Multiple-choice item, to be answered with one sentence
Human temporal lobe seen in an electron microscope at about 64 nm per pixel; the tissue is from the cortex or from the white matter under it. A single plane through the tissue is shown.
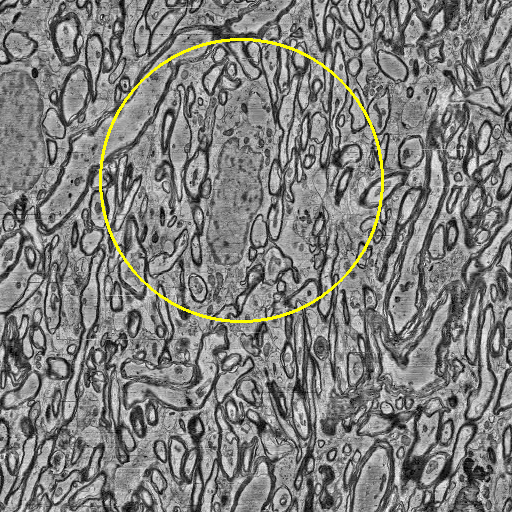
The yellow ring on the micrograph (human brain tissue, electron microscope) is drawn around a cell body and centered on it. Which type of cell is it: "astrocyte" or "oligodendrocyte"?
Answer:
The ring is centered on an astrocyte.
